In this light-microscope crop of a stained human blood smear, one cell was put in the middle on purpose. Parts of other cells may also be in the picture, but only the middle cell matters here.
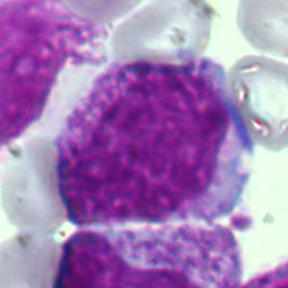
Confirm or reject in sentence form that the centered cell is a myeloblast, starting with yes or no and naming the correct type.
No, the correct answer for the middle cell is a promyelocyte, not a myeloblast.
